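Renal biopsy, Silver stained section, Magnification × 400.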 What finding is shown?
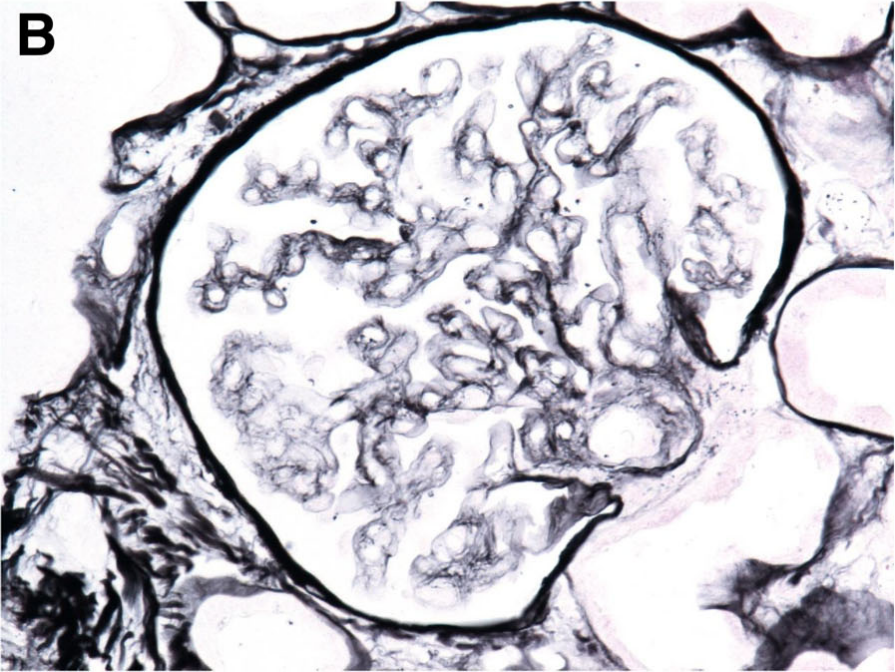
Segmental double contours of the capillary loops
